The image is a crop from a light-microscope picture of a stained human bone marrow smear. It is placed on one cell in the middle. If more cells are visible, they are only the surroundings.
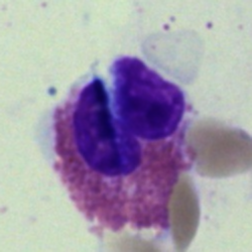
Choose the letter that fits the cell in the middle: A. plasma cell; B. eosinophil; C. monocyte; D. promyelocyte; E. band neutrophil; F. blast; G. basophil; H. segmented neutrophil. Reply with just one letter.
B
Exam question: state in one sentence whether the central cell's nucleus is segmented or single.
Kindly observe that the nucleus forms two or more lobes.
